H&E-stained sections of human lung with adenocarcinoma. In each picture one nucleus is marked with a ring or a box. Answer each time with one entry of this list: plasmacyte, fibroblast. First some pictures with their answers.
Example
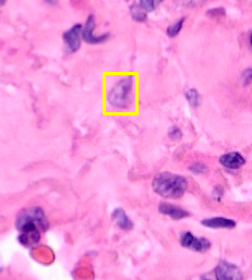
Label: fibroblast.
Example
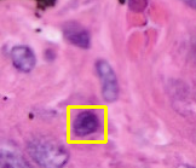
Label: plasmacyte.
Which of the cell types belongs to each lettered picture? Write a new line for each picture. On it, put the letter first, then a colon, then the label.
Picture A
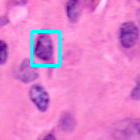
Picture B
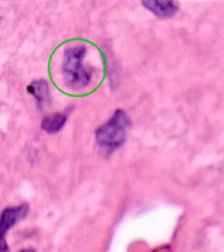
A: plasmacyte.
B: fibroblast.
